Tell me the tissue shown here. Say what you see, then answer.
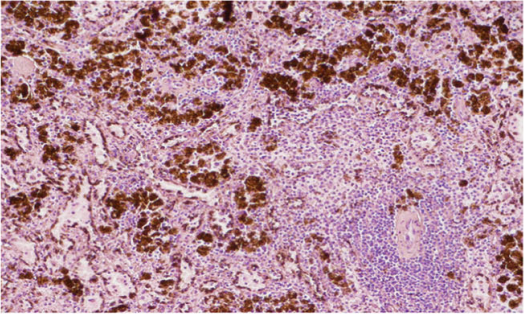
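A dense cluster of small blue lymphocytes around a small artery. Surrounding cellular tissue with many dark brown pigment clumps.
Answer: spleen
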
